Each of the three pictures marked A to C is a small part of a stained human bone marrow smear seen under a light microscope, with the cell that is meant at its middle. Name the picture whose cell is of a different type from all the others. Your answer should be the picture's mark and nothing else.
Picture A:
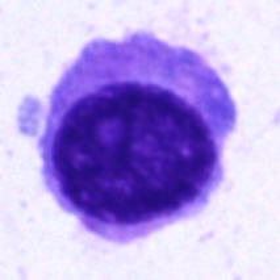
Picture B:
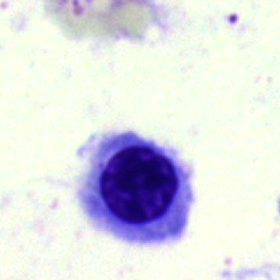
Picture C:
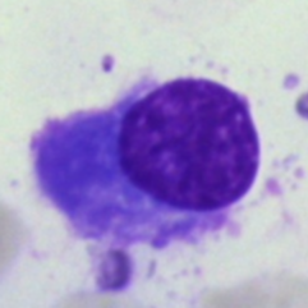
B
